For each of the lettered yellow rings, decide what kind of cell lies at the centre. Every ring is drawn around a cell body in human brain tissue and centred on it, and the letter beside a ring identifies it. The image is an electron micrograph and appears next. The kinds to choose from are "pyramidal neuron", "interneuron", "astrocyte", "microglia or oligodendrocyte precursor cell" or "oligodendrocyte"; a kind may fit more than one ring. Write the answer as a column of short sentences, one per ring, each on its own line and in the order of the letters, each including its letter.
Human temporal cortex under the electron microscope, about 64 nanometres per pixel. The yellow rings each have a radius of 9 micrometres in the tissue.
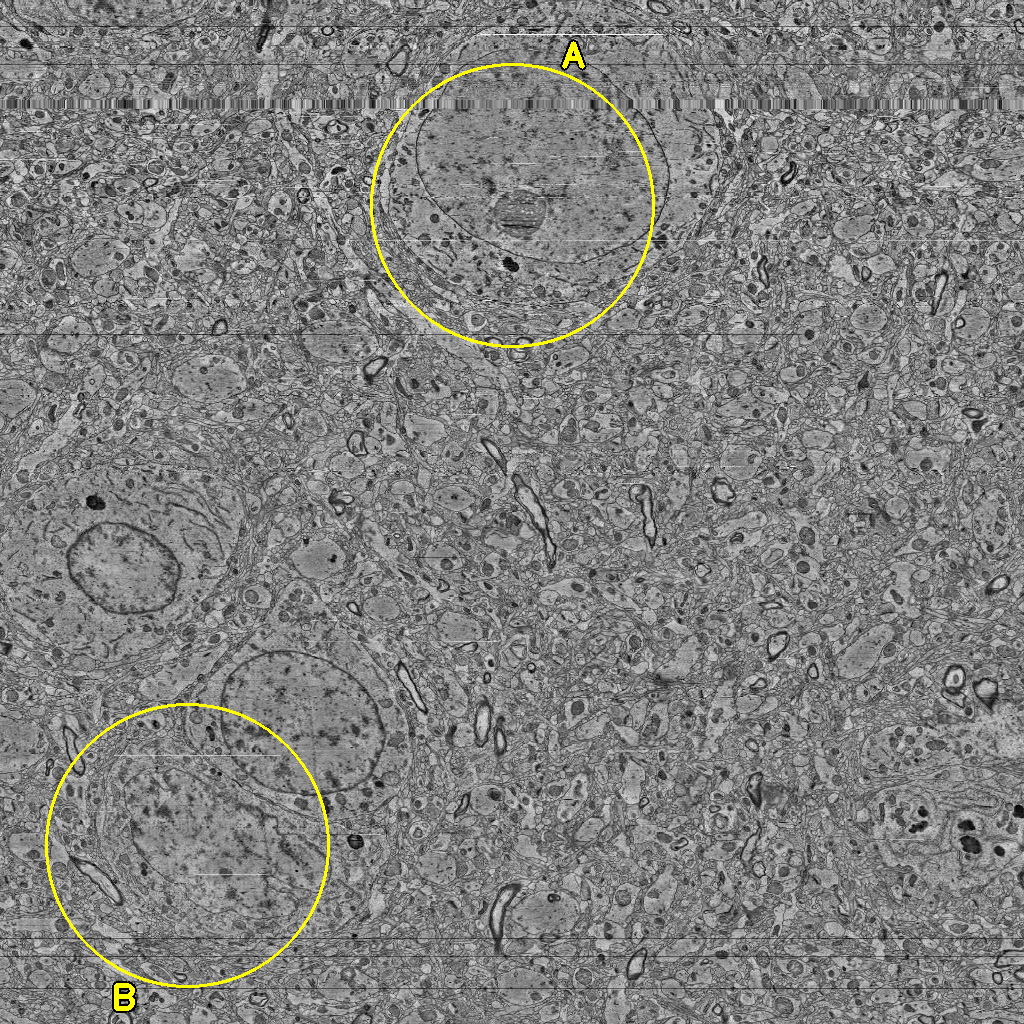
In the centre of ring A lies a pyramidal neuron.
In the centre of ring B lies an interneuron.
